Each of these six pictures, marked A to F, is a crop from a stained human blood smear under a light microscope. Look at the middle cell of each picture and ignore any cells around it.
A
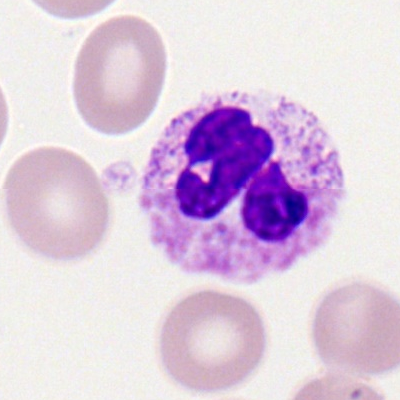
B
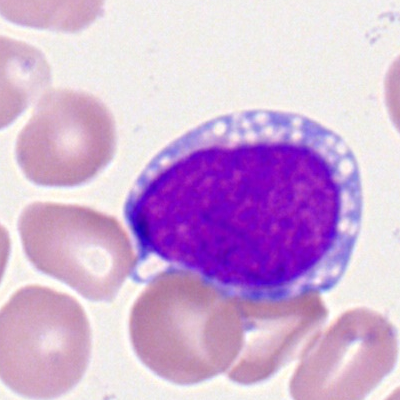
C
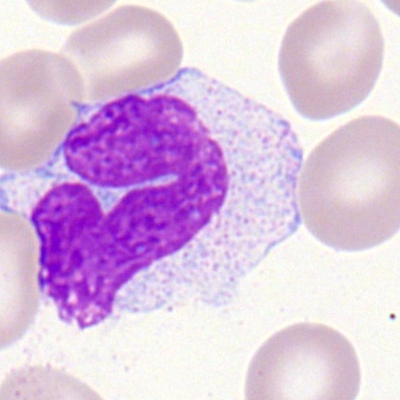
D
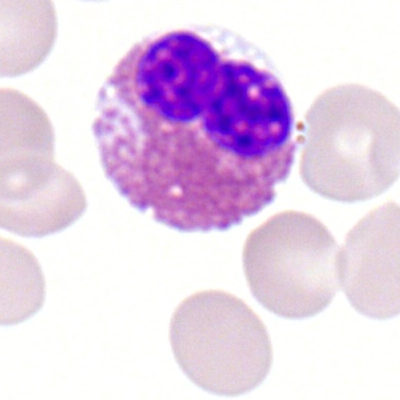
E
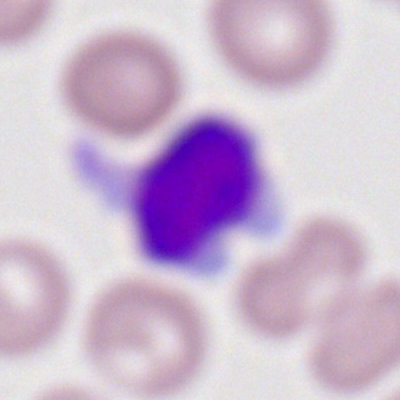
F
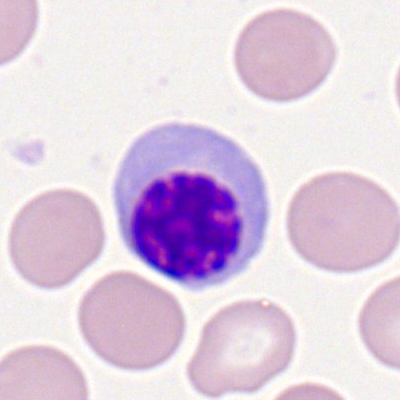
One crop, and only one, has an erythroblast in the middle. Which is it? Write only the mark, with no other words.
F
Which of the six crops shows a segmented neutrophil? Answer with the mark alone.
A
